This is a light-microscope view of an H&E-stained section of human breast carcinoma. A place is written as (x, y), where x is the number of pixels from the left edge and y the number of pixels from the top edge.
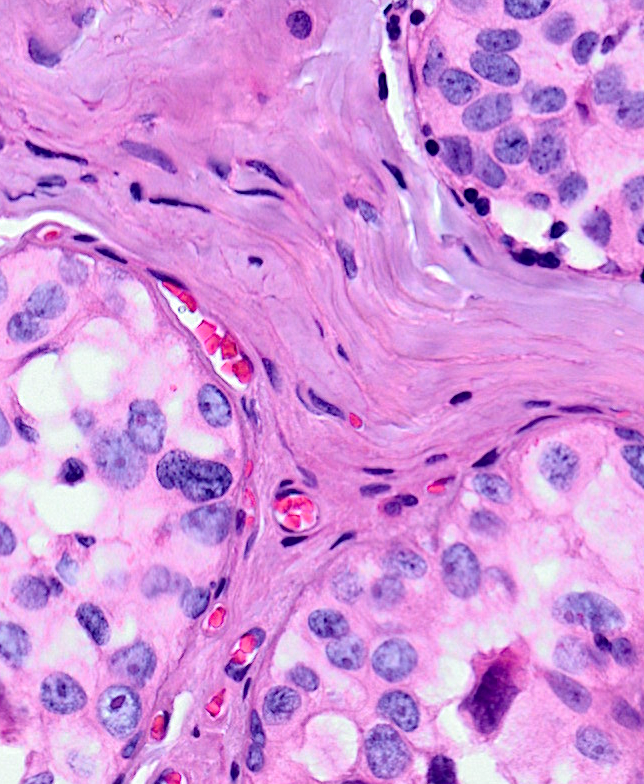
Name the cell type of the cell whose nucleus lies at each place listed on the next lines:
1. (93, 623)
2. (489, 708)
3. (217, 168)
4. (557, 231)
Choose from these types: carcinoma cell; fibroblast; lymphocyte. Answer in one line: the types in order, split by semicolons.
carcinoma cell; carcinoma cell; fibroblast; lymphocyte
